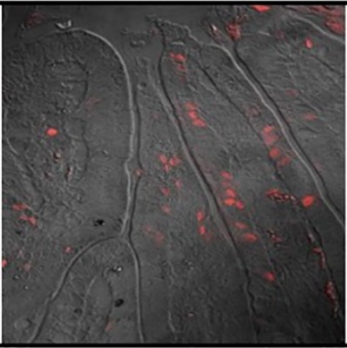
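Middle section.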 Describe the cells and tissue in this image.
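Here several small intestinal villi run side by side as long grey projections, each edged by a smooth epithelial border. Many red spots, some single and some in small clusters, are scattered along the length of the villi rather than only at their tips.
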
